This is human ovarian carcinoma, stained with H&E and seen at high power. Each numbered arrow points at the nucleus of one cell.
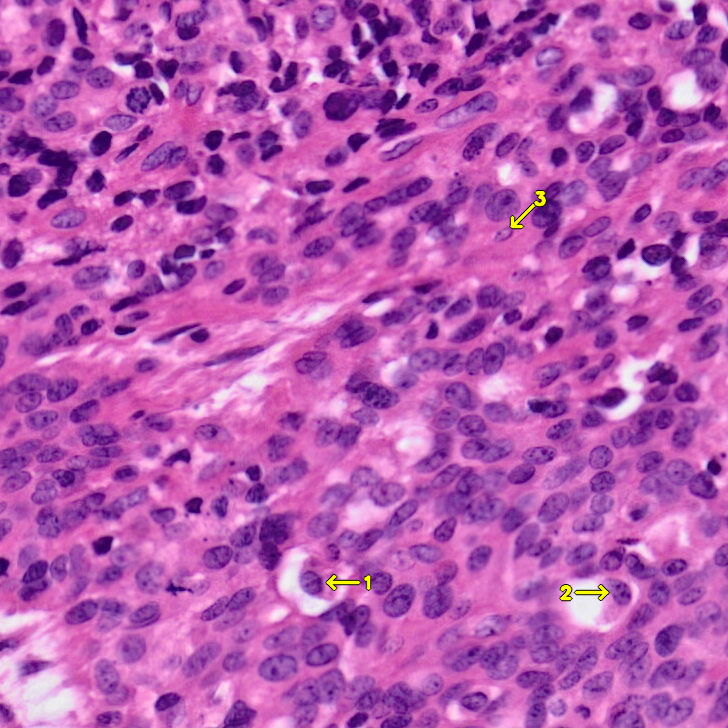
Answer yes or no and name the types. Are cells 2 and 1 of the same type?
Yes, both are macrophages or monocytes.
